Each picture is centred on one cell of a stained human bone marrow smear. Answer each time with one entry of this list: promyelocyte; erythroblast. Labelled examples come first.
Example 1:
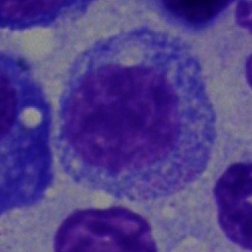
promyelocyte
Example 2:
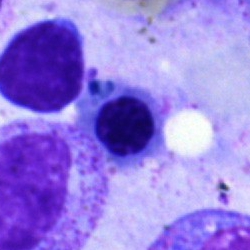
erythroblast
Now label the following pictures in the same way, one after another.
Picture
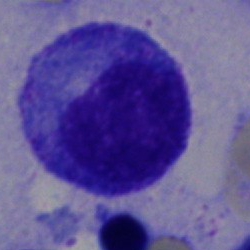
promyelocyte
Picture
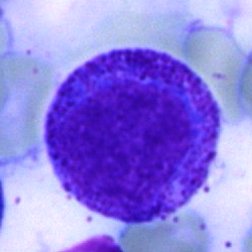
promyelocyte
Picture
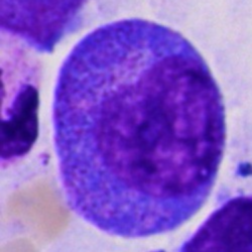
promyelocyte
